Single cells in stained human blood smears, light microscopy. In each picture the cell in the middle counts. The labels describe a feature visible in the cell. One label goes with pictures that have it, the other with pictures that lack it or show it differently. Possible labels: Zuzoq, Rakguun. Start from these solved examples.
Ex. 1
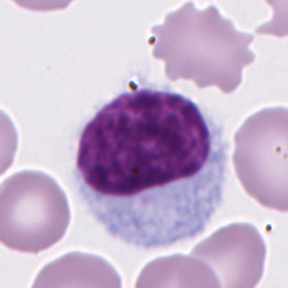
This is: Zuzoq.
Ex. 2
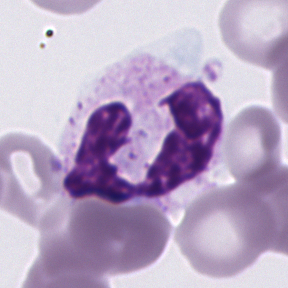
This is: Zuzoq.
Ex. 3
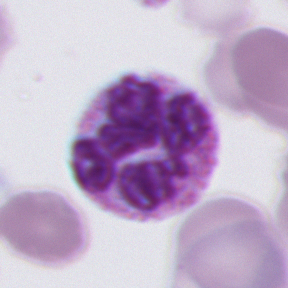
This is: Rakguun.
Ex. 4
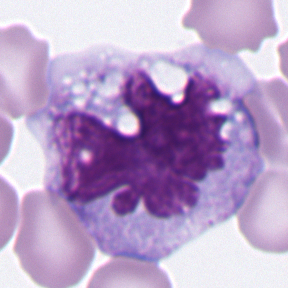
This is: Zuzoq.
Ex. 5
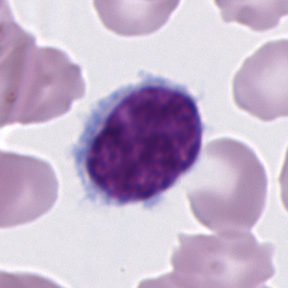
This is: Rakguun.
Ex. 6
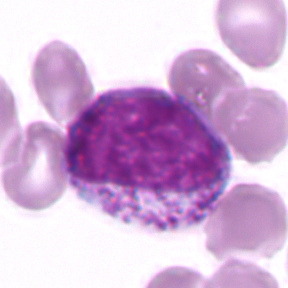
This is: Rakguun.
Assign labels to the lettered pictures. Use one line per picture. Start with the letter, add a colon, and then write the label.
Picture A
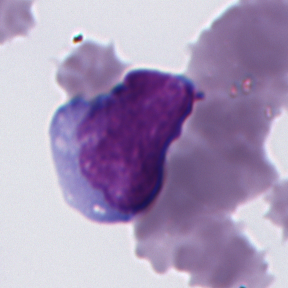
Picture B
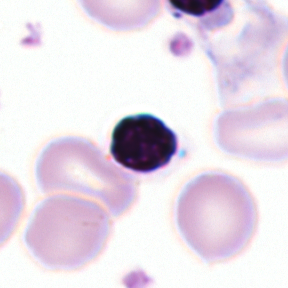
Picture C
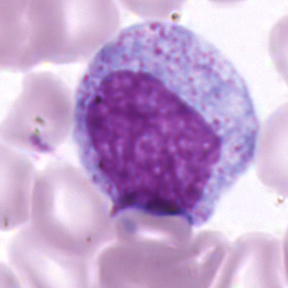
A: Zuzoq.
B: Rakguun.
C: Zuzoq.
